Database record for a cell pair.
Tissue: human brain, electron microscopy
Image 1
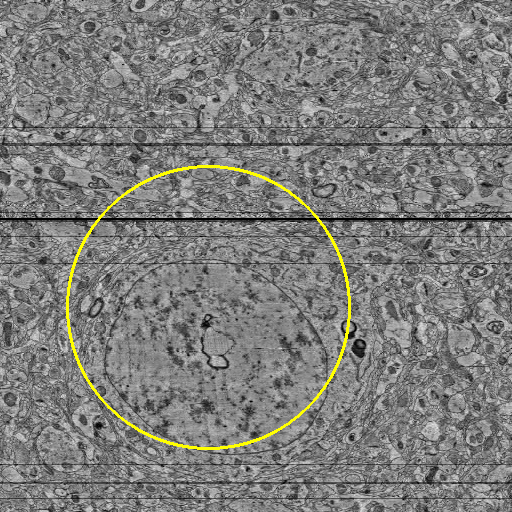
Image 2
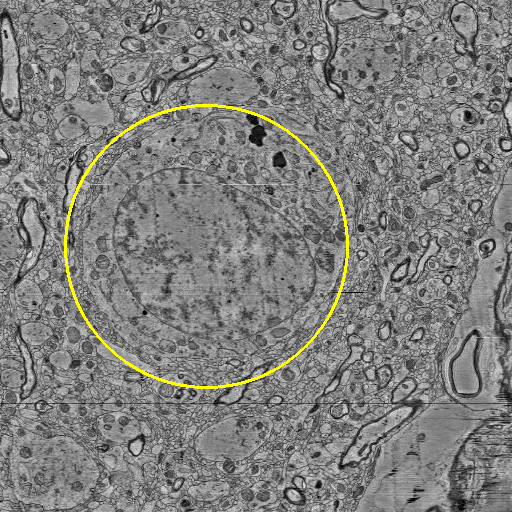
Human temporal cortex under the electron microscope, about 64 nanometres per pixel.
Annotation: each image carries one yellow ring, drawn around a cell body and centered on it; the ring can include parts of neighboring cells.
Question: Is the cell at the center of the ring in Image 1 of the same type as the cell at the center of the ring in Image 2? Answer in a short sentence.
No, the cells are of two types.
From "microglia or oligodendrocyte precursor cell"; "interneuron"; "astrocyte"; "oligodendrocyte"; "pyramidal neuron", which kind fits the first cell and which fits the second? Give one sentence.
The cell marked in the first picture is a pyramidal neuron, and the one marked in the second is an interneuron.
